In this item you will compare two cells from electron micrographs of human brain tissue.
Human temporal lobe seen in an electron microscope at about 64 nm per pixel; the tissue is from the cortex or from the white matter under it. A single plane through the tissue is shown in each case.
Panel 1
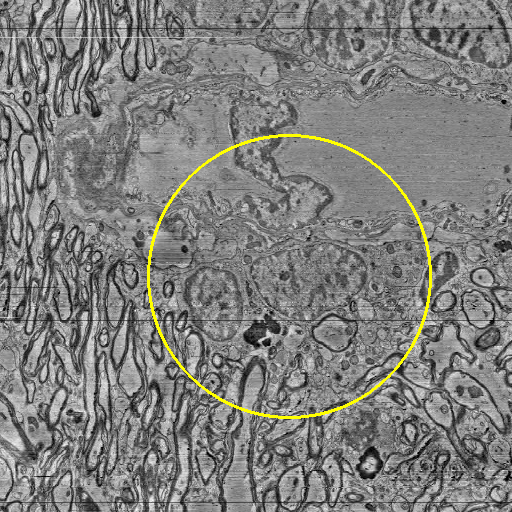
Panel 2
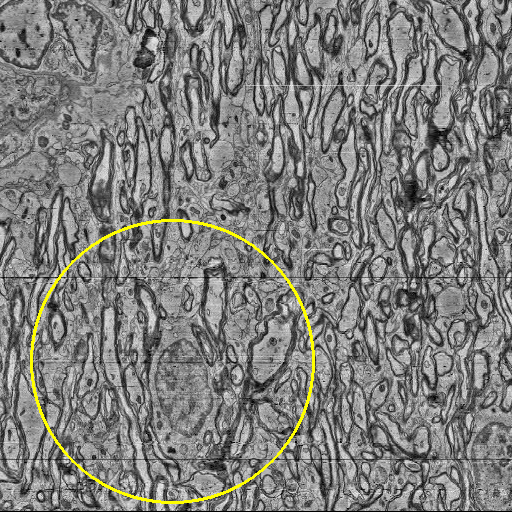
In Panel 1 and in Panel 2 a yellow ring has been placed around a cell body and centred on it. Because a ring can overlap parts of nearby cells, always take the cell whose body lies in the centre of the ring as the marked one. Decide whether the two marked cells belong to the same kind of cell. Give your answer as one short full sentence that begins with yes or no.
Yes, the two marked cells belong to the same kind of cell.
